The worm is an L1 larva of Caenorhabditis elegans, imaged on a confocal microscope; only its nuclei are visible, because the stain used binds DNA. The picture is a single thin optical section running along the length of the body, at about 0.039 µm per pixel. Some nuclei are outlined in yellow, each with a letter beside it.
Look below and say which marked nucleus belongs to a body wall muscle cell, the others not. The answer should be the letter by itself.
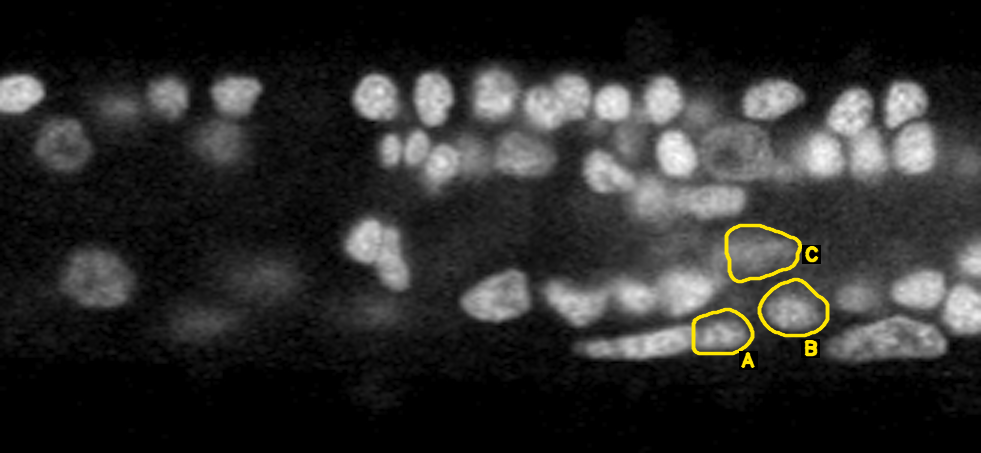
A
